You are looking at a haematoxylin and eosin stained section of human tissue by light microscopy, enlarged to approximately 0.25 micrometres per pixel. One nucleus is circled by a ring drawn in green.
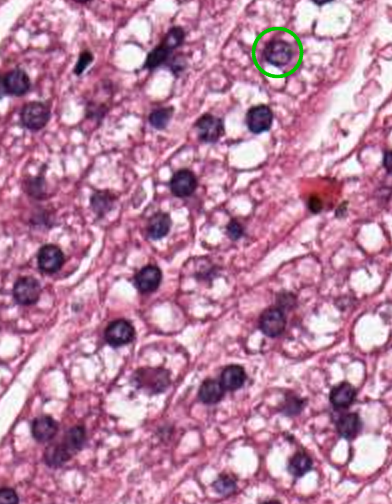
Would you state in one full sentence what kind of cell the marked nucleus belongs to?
The nucleus with the mark belongs to an adrenal cortical cell.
